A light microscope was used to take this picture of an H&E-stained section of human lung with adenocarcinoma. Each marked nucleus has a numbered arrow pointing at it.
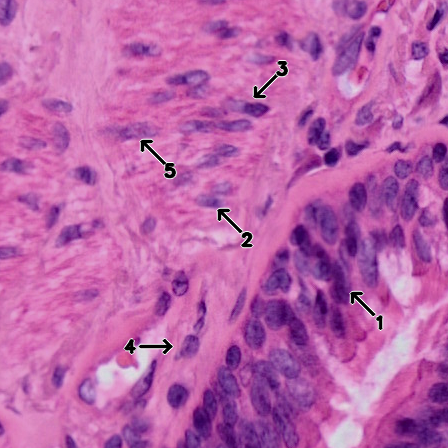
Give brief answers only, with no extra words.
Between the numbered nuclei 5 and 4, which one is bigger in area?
5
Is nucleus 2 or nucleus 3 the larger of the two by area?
3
